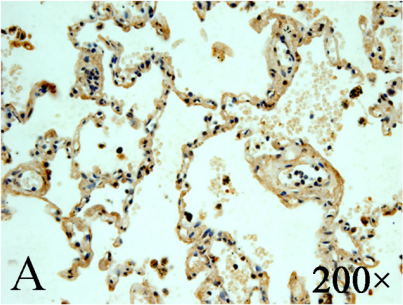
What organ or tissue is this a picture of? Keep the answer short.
alveolar epithelium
